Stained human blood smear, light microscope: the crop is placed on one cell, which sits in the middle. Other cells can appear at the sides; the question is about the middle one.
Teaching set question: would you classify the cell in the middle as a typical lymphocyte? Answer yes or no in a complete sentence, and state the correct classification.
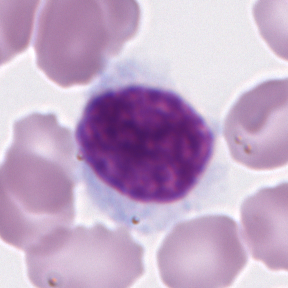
No, what occupies the middle of the crop is a hairy cell and not a typical lymphocyte.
